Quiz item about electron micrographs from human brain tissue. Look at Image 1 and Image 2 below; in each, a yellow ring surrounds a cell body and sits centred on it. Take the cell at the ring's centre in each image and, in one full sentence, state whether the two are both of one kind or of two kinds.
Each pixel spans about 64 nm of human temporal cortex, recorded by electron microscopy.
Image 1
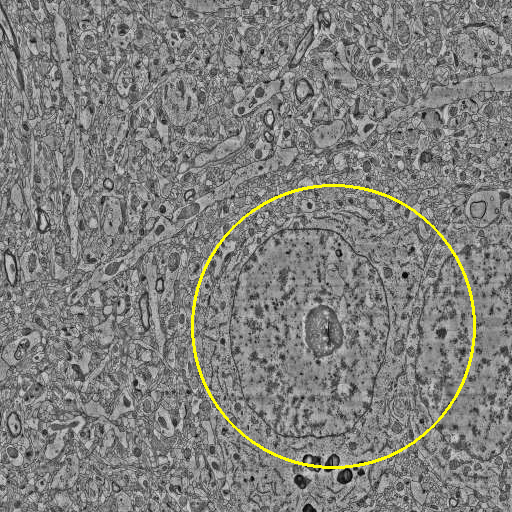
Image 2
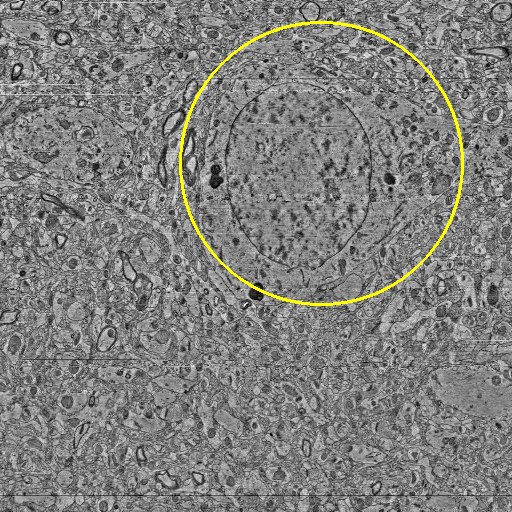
In Image 1 and Image 2, the cells at the ring centres are both of one kind.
